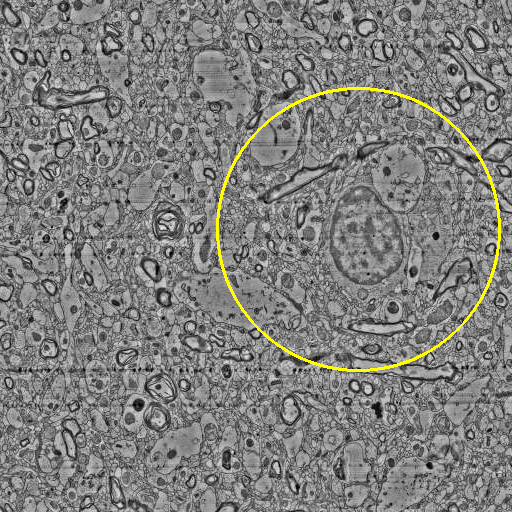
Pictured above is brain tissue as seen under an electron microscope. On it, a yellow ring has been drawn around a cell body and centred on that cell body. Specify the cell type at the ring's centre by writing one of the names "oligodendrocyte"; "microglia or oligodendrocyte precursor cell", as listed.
oligodendrocyte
